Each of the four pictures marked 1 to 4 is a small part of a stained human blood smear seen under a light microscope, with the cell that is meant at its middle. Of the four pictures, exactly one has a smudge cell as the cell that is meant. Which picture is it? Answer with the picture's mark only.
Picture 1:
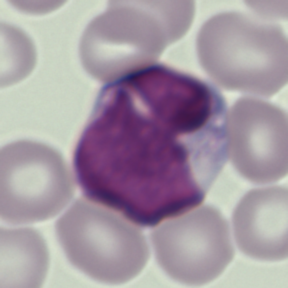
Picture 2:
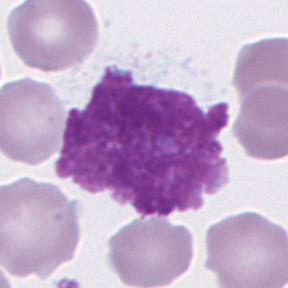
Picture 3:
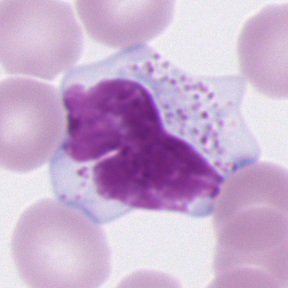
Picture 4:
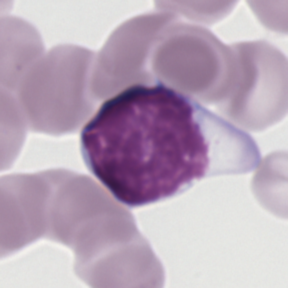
2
